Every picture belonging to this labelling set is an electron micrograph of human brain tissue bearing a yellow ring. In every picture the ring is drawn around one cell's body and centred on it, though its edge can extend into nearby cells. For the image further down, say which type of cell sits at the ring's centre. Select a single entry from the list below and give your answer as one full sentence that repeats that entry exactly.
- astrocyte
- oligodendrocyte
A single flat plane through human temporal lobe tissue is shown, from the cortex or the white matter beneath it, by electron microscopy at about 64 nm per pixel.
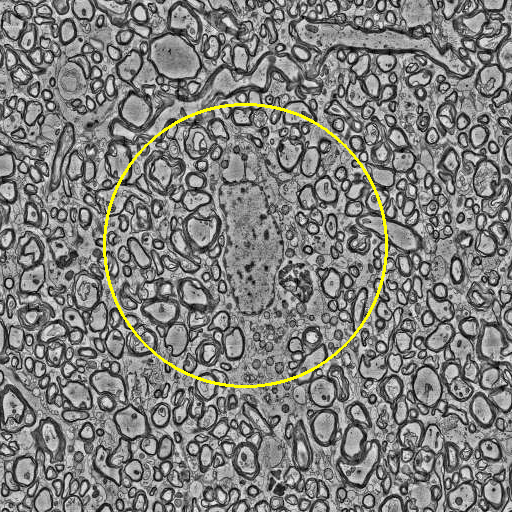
In the picture, an astrocyte is the cell at the centre of the yellow ring.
